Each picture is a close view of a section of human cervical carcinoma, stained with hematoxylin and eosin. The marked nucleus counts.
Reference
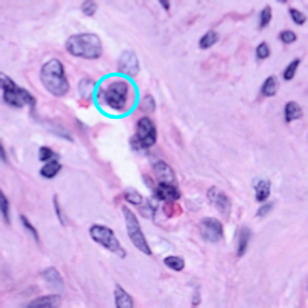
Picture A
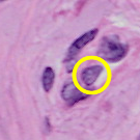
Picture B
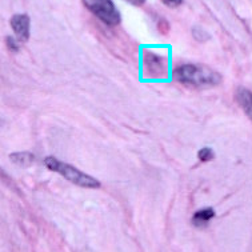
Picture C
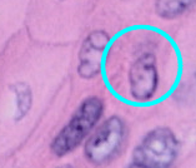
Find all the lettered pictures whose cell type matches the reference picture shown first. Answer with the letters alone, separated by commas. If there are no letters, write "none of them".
A, B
